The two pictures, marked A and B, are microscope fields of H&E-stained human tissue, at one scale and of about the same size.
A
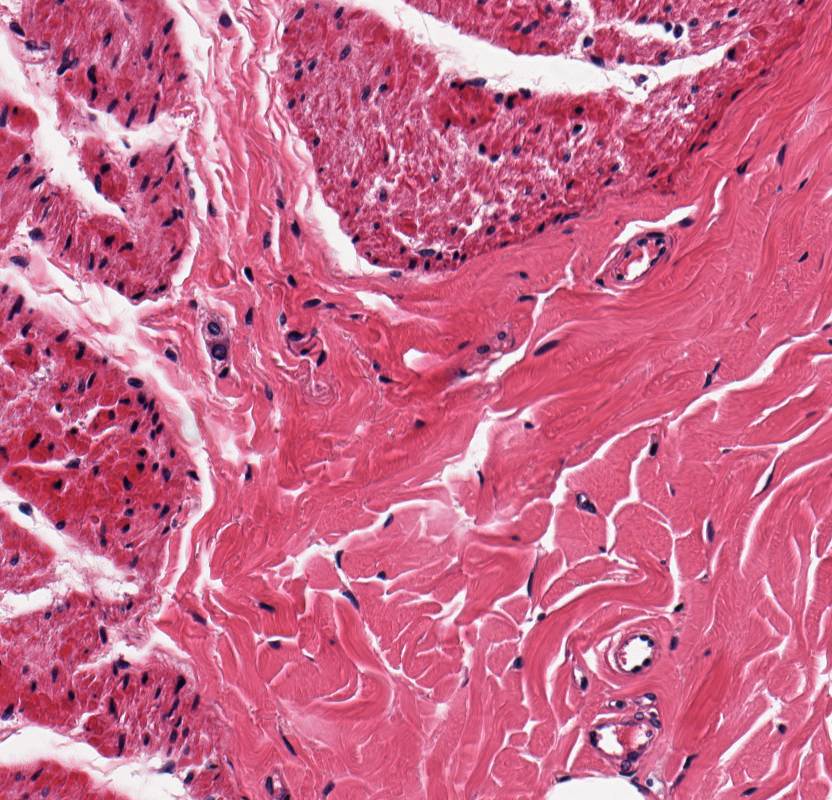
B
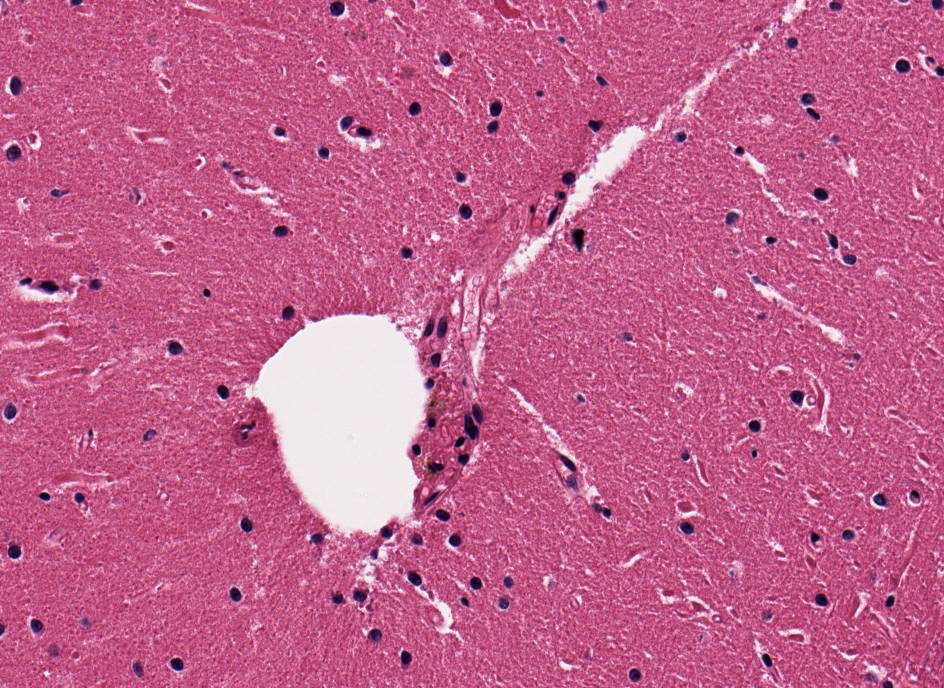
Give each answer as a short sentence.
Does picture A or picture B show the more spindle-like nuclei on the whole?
The nuclei are more elongated in picture A.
